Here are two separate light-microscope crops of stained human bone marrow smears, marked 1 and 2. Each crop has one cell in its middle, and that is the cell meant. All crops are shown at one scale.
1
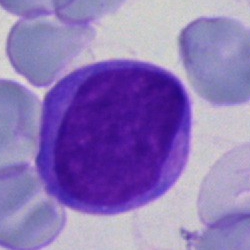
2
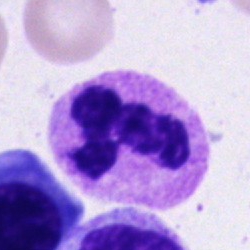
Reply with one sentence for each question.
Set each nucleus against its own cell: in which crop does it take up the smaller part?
In crop 2 the nucleus takes up the smaller part of its cell.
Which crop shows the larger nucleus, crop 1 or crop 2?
The nucleus in crop 1 is larger, with about 2 times the area of the one in crop 2.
